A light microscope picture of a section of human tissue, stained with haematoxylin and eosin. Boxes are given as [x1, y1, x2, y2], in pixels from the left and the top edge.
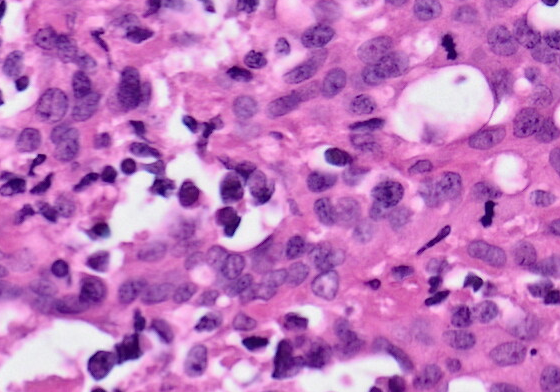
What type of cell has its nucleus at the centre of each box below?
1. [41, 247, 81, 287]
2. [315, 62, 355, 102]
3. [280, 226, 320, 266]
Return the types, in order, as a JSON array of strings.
["macrophage or monocyte", "carcinoma cell", "carcinoma cell"]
